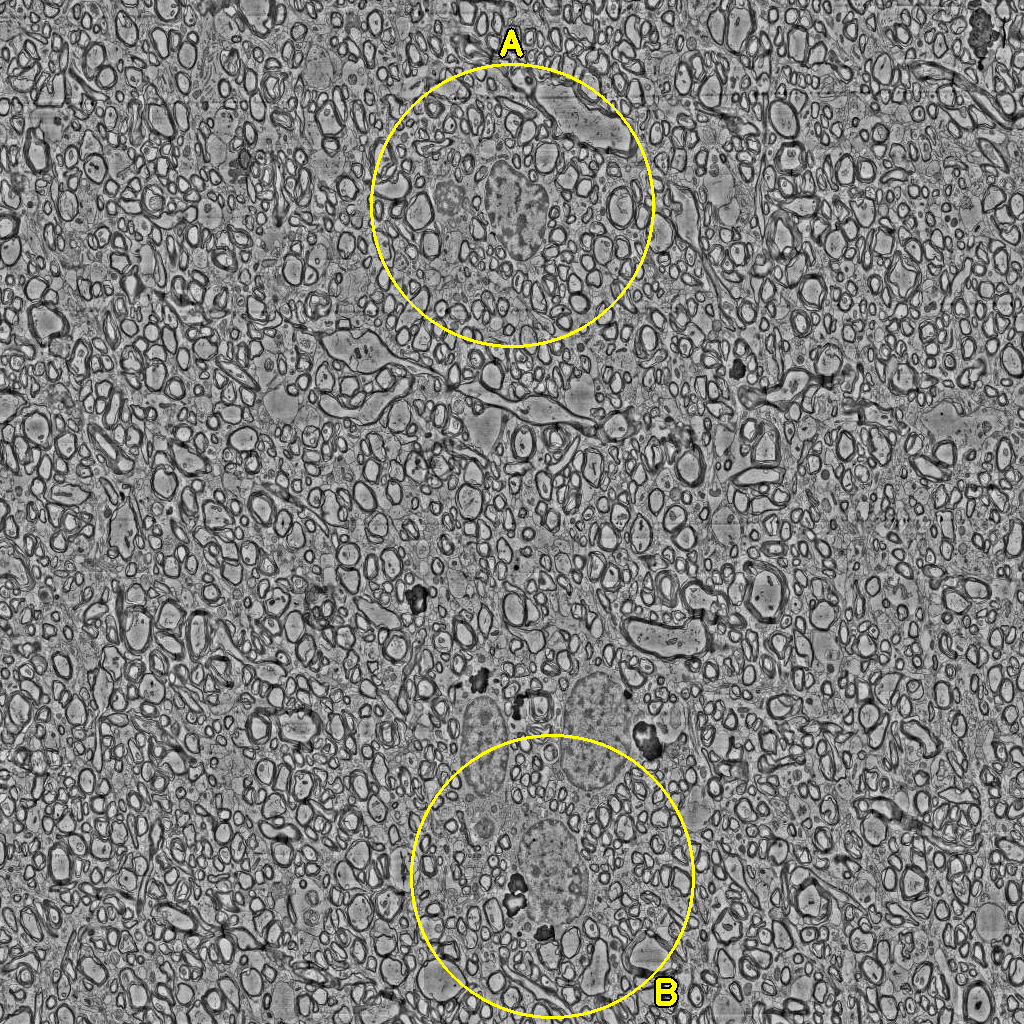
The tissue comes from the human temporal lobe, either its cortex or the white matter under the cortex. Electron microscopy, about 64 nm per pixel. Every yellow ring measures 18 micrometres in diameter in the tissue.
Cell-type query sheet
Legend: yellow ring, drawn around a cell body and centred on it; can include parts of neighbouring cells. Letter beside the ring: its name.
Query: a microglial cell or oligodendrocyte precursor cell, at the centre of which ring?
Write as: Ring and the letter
Ring A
